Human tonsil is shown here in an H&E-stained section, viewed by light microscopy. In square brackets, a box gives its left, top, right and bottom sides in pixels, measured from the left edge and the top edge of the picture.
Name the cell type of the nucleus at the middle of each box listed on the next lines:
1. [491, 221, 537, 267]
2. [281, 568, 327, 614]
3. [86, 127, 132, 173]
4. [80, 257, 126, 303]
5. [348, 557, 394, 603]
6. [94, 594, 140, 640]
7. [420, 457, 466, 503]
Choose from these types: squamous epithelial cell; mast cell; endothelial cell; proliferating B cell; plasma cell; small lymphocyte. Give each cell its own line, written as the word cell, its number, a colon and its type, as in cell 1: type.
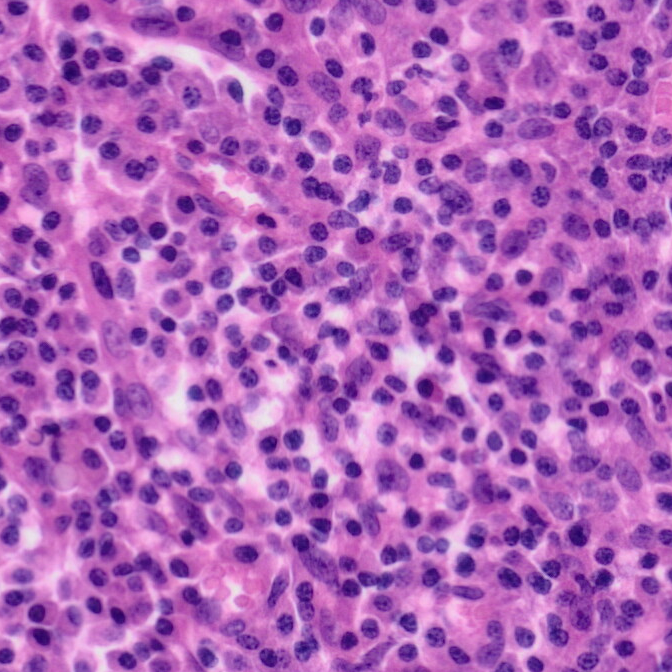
cell 1: squamous epithelial cell
cell 2: plasma cell
cell 3: plasma cell
cell 4: squamous epithelial cell
cell 5: plasma cell
cell 6: plasma cell
cell 7: squamous epithelial cell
